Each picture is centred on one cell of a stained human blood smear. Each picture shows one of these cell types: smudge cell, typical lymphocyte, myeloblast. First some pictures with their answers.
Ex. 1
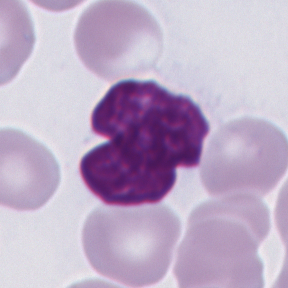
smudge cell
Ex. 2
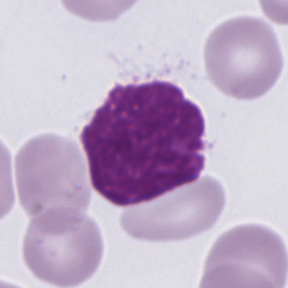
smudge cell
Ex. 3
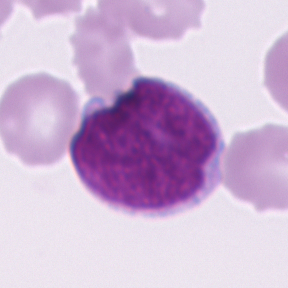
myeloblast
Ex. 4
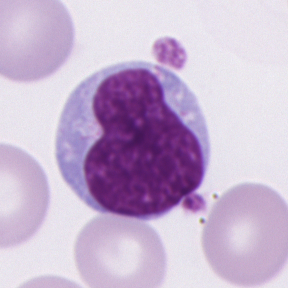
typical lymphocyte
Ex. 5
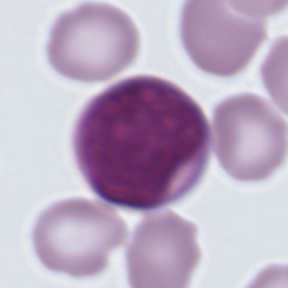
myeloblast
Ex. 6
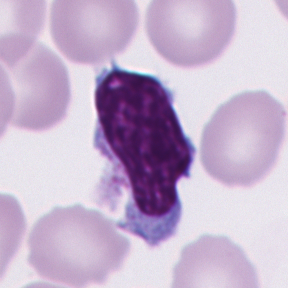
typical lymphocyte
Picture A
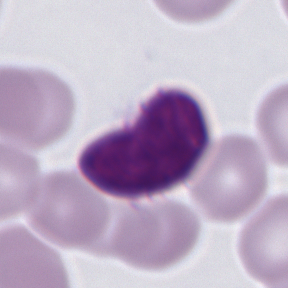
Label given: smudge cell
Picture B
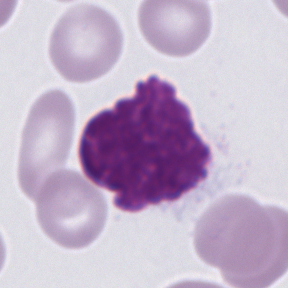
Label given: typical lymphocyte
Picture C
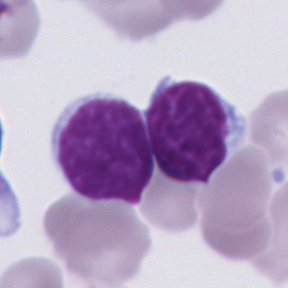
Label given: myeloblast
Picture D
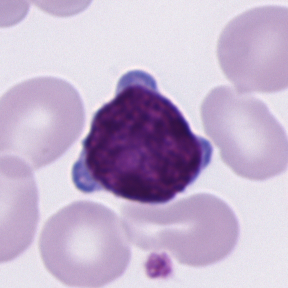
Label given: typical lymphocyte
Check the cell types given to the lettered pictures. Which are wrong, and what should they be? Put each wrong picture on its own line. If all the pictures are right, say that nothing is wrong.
B is labelled typical lymphocyte; correct label: smudge cell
